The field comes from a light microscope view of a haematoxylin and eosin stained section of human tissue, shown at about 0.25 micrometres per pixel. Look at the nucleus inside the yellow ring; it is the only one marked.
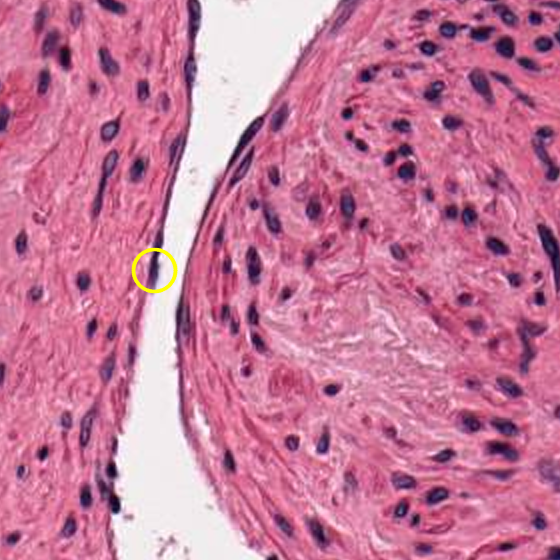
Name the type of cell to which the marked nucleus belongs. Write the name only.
endothelial cell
